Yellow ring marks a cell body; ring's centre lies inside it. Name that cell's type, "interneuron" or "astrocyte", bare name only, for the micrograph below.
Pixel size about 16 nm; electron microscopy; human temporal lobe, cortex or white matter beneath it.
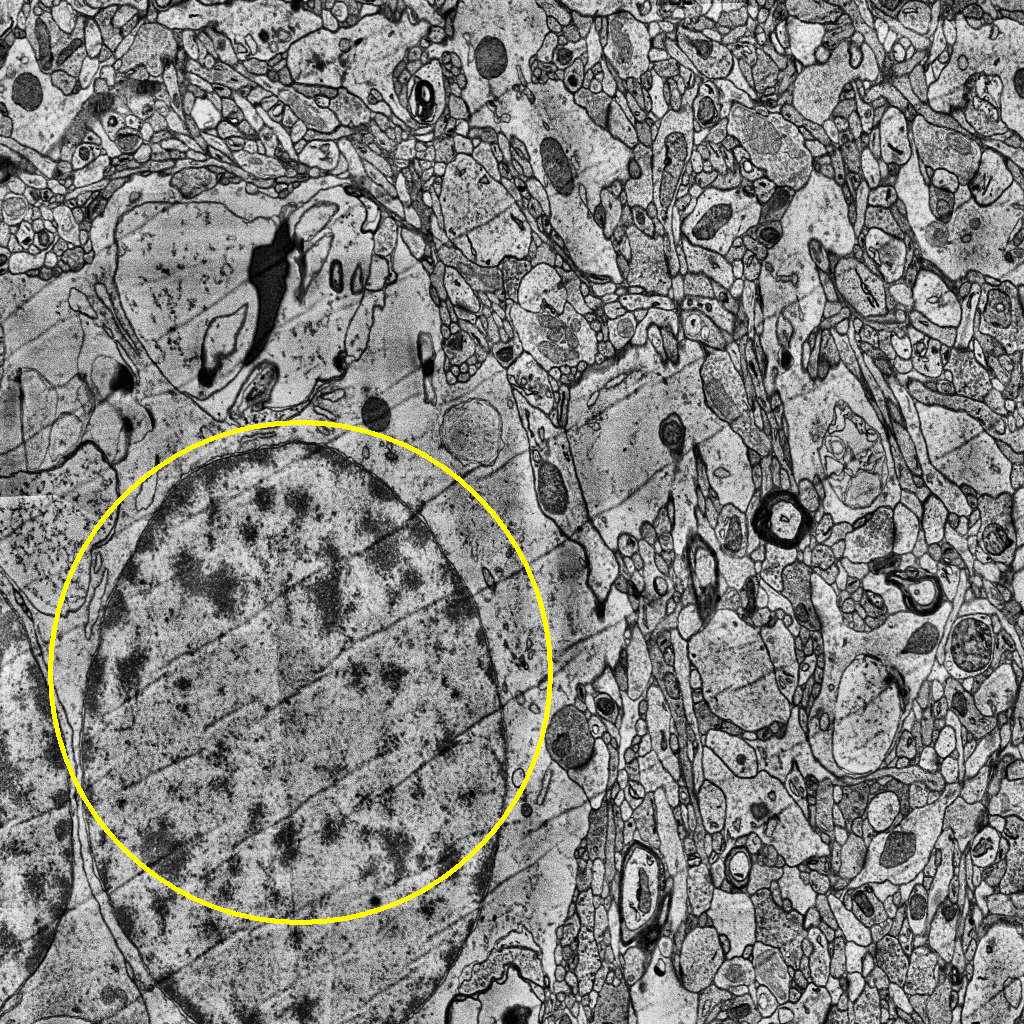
astrocyte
